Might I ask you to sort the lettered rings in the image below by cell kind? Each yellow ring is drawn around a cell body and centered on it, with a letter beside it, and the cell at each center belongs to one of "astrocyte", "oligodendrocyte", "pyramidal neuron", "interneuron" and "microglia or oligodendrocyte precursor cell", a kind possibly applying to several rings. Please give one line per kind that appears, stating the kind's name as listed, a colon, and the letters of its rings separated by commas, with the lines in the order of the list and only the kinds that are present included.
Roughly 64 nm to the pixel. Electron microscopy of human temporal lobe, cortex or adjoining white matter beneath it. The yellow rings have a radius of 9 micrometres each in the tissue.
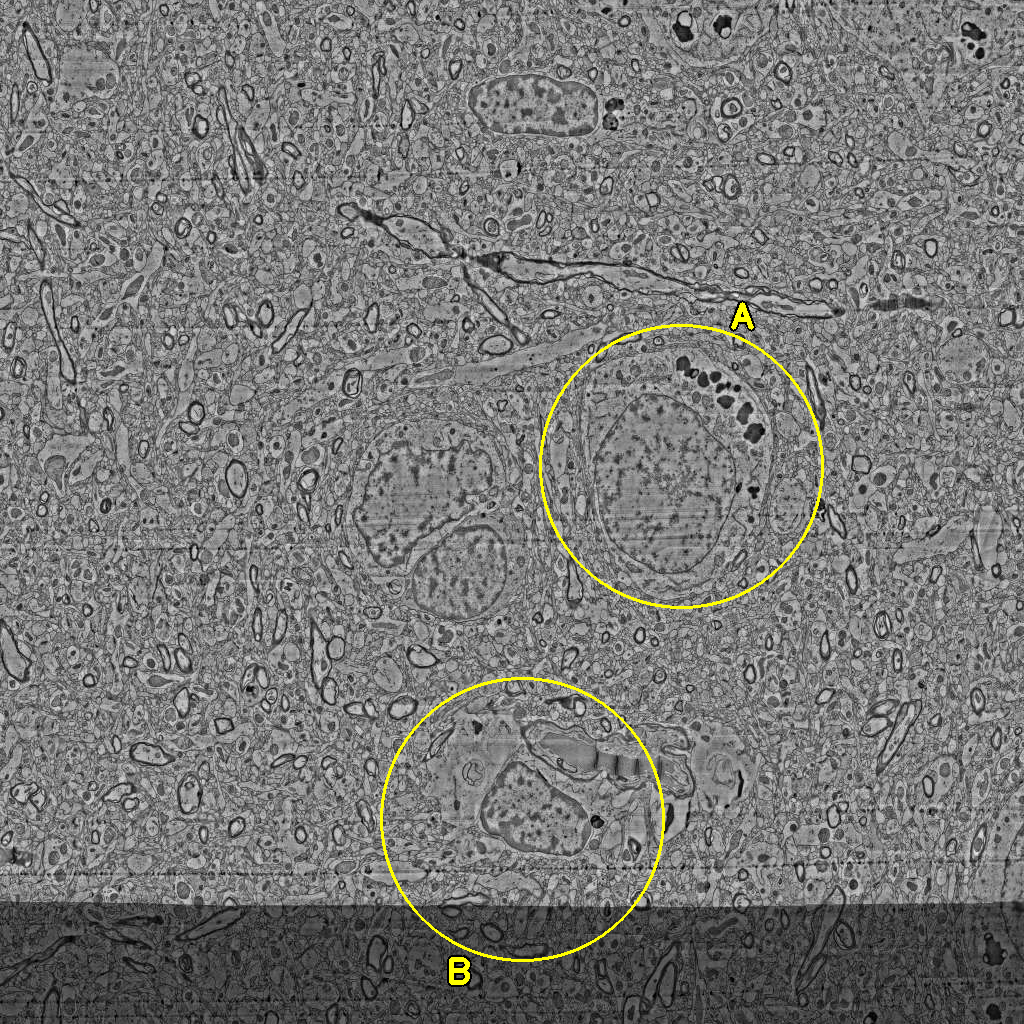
pyramidal neuron: A
microglia or oligodendrocyte precursor cell: B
